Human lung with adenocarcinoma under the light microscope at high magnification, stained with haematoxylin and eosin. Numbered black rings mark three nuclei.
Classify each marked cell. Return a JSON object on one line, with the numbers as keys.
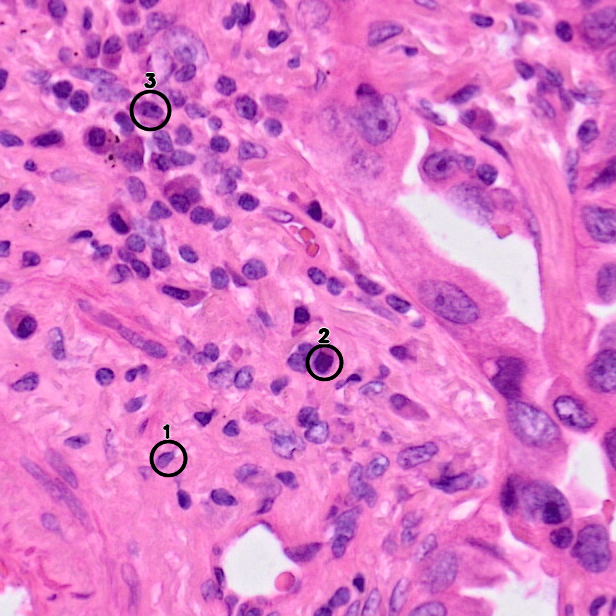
{"1": "lymphocyte", "2": "plasma cell", "3": "plasma cell"}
